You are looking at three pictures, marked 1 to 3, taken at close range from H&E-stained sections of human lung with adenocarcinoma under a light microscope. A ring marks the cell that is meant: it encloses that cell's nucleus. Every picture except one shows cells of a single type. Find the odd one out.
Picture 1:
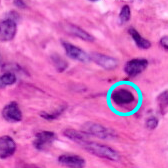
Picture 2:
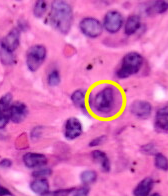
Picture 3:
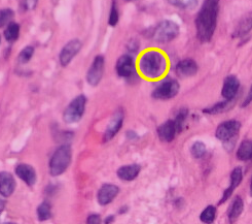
3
